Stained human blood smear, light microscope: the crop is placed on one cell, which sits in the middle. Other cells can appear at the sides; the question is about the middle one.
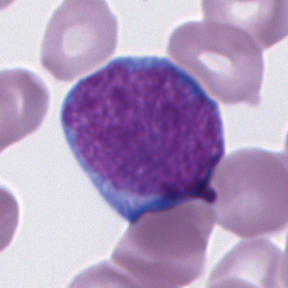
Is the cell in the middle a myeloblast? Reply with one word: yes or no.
yes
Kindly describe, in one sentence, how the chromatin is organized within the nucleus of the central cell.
There is no coarse clumping; the chromatin stays fine throughout.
